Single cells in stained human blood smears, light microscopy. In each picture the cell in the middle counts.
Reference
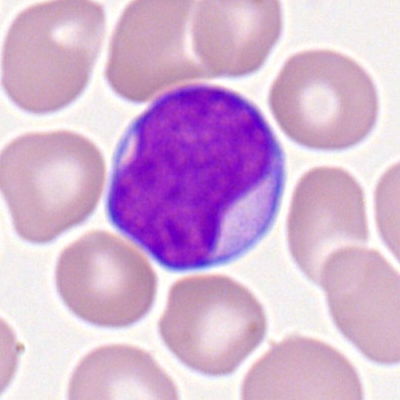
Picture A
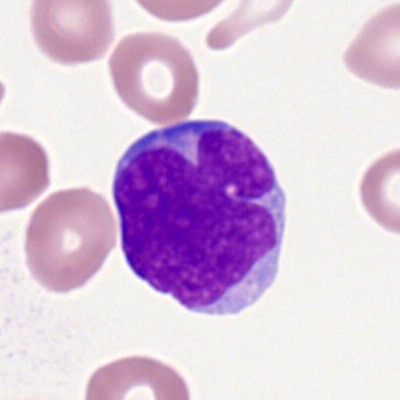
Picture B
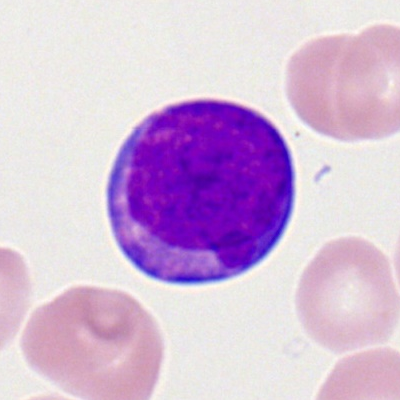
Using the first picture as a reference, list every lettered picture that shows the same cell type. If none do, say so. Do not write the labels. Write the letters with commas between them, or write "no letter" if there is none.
A, B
